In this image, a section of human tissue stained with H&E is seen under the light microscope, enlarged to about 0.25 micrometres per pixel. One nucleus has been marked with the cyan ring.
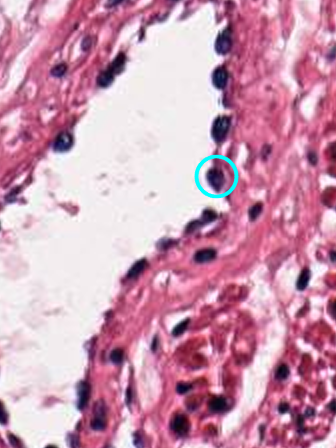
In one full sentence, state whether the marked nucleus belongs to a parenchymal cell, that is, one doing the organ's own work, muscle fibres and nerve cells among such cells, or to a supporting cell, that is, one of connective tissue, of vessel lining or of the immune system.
The marked nucleus is contained in a supporting cell.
